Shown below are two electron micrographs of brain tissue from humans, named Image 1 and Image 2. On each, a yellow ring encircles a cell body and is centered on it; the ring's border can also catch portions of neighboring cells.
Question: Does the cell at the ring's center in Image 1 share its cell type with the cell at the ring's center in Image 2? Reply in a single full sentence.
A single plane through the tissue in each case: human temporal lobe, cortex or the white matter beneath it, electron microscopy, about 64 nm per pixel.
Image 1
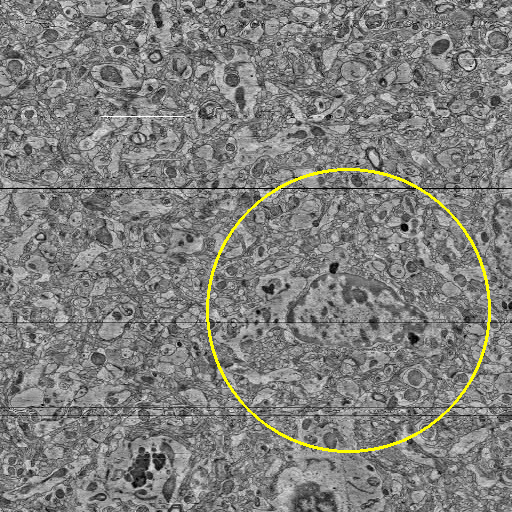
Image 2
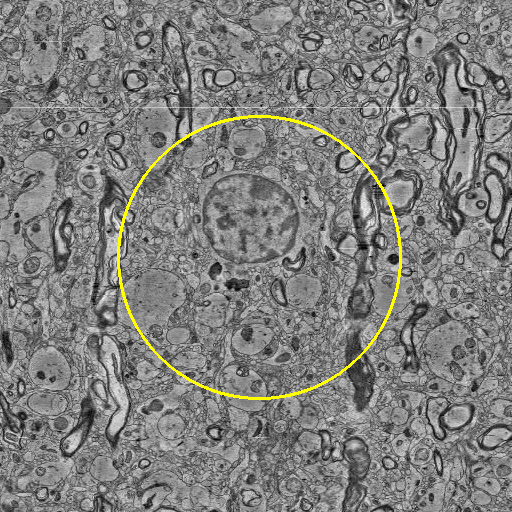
No, the two cells at the ring centers, in Image 1 and Image 2, are of two cell types.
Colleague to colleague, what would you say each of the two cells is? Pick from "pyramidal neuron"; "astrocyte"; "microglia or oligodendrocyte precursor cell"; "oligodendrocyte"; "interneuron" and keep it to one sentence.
The cell in the first picture is a microglial cell or oligodendrocyte precursor cell; the second picture's cell is an oligodendrocyte.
